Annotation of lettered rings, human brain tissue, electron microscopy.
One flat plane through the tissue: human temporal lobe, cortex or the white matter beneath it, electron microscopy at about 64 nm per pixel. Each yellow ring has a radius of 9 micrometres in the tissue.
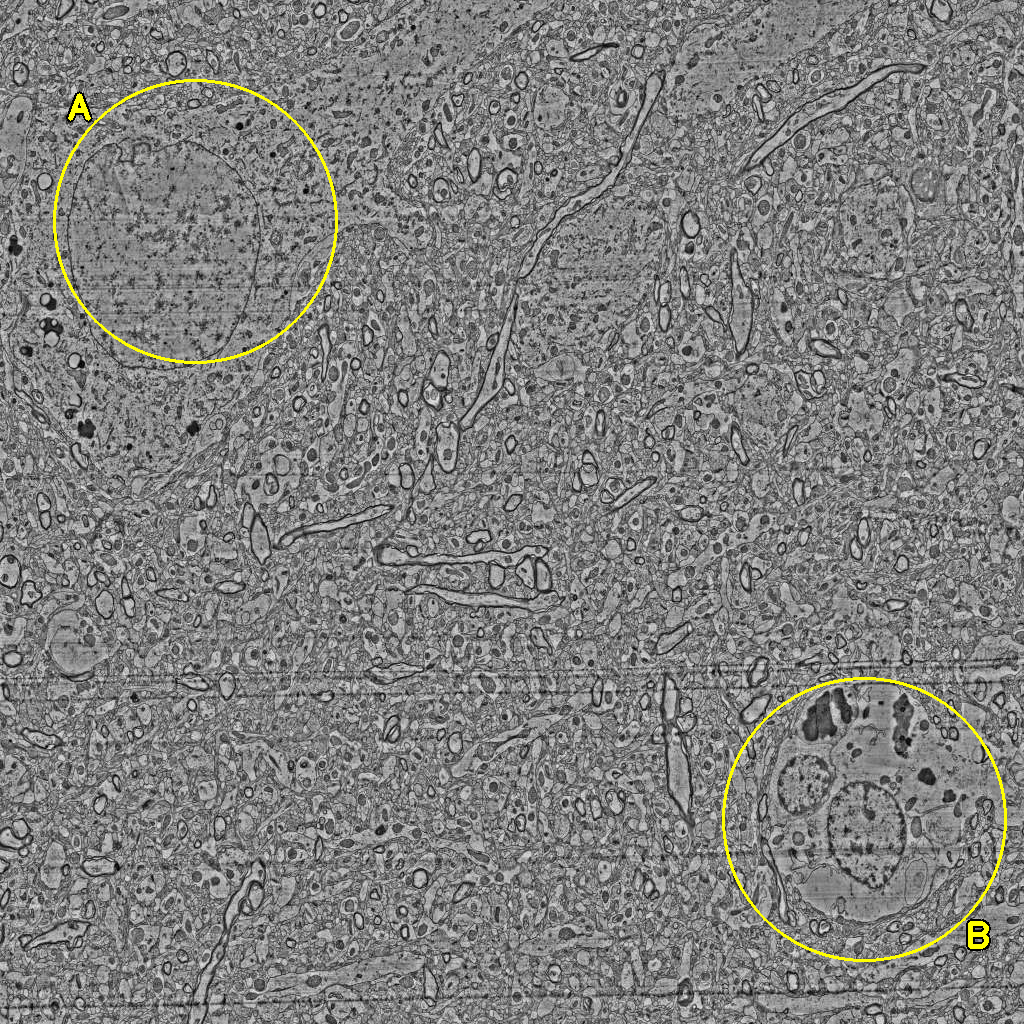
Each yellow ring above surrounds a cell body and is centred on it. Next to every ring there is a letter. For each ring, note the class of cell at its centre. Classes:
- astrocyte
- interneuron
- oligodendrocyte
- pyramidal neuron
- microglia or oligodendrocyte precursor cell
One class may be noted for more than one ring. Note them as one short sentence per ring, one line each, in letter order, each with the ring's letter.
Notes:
The class noted at ring A is a pyramidal neuron.
The class noted at ring B is an astrocyte.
